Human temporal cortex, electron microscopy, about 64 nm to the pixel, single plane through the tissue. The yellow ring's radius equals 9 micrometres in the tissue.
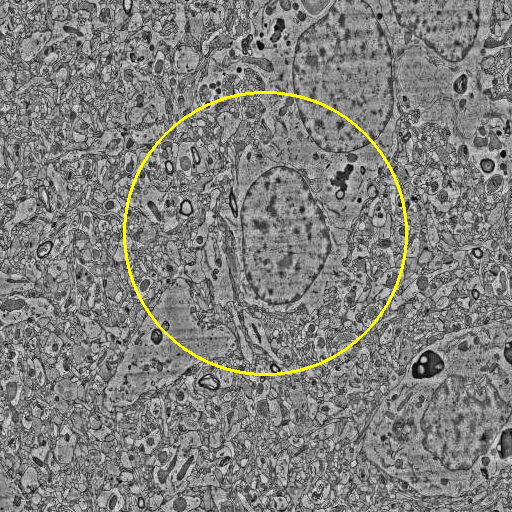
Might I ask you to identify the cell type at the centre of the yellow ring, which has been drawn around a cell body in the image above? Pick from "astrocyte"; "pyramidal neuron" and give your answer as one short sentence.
The centre of the ring falls on an astrocyte.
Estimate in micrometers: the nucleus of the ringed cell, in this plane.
About 9 by 6 micrometres; in this plane the nucleus is clearly longer than it is wide.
